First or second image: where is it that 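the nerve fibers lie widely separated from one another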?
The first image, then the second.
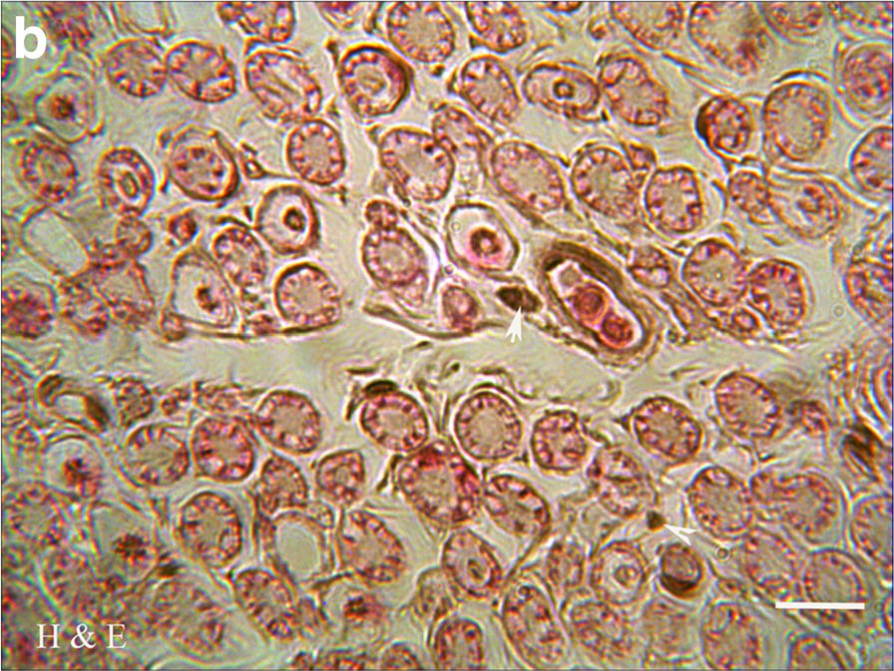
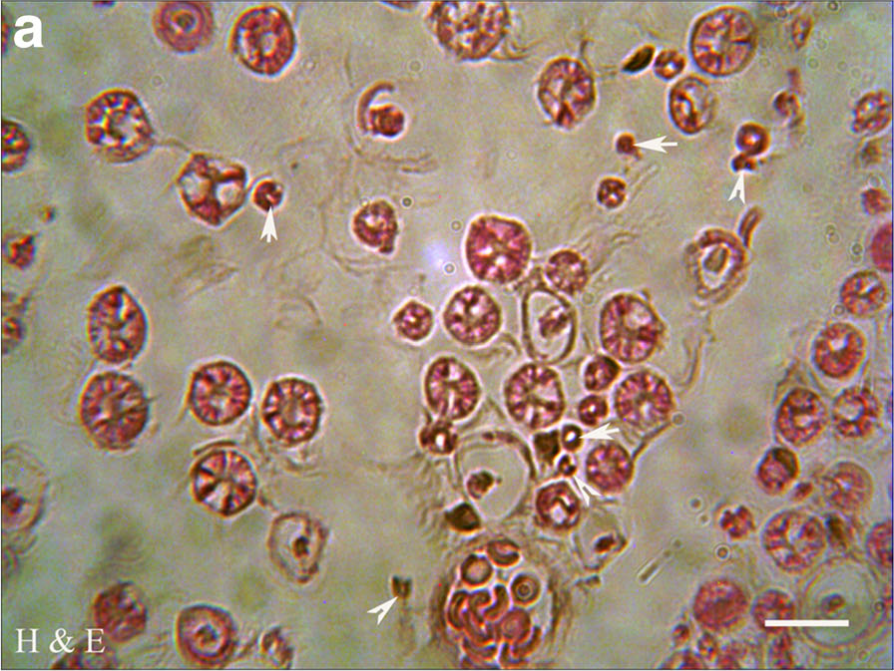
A: the second image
